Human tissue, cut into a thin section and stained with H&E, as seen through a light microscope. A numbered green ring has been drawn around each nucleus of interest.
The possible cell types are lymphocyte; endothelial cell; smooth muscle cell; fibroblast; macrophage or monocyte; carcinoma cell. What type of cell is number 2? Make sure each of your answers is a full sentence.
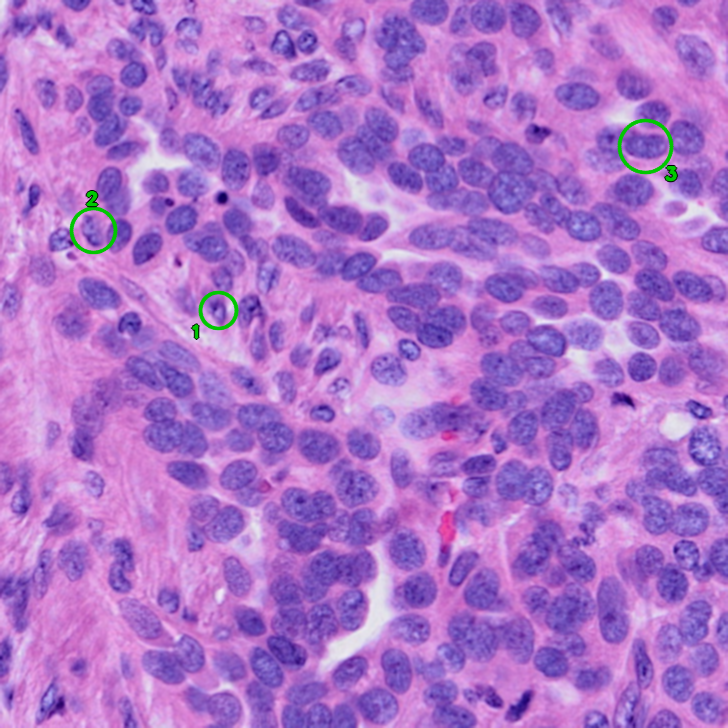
Nucleus 2 in this section belongs to a fibroblast.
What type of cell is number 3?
Denoted by the label 3 in the section is a carcinoma cell.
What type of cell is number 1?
Classified as a fibroblast is the cell with the number 1.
